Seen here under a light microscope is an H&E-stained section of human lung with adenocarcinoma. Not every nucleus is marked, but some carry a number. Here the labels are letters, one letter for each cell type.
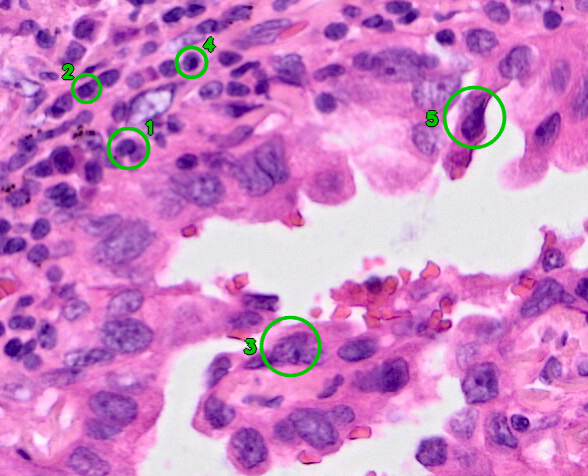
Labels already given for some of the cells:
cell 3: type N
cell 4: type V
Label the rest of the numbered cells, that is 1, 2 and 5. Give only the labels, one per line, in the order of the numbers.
type V
type V
type N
